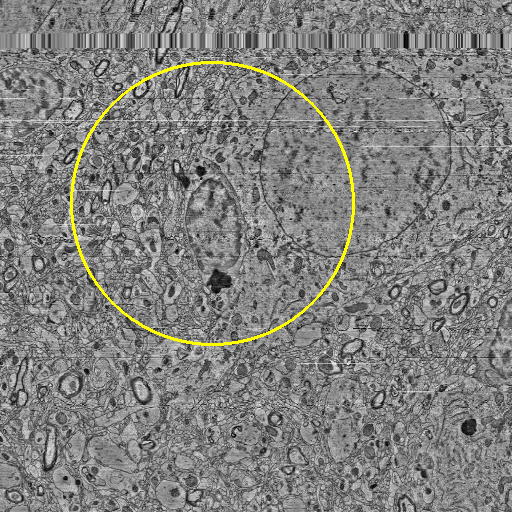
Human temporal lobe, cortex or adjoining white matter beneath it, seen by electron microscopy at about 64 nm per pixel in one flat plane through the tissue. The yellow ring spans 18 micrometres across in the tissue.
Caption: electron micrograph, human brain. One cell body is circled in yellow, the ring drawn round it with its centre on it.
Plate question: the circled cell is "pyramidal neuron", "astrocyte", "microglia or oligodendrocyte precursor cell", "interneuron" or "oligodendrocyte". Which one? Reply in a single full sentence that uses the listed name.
The yellow ring on the plate is centred on an oligodendrocyte, going by the listed names.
